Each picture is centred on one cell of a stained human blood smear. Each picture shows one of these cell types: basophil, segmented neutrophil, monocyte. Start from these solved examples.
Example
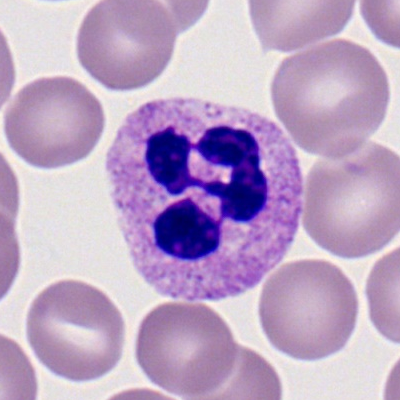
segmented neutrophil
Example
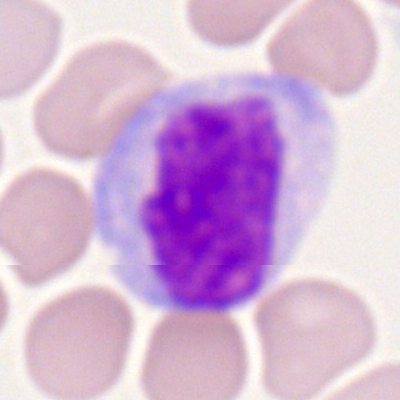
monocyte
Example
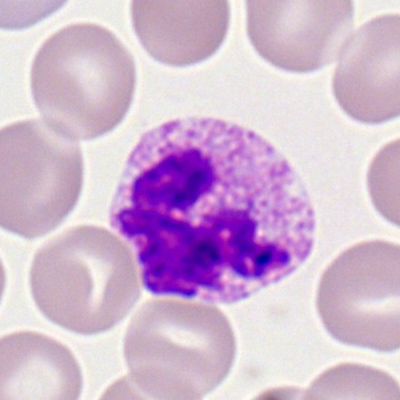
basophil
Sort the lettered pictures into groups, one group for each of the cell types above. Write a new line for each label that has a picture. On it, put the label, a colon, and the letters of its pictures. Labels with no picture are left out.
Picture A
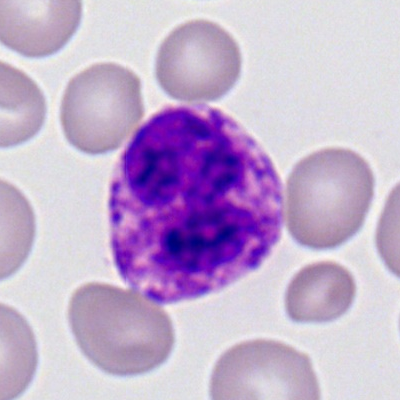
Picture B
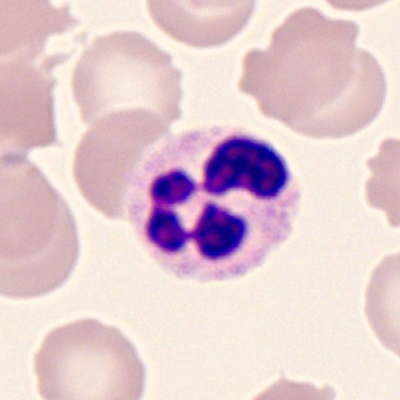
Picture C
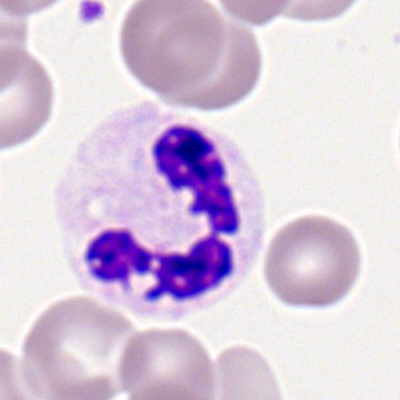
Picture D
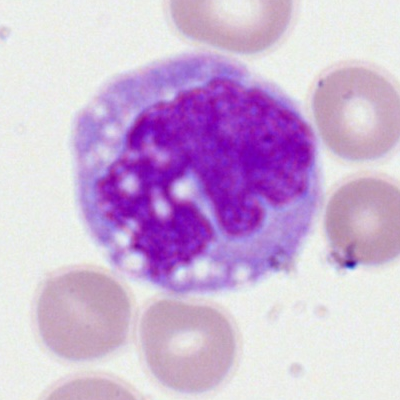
basophil: A
segmented neutrophil: B, C
monocyte: D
